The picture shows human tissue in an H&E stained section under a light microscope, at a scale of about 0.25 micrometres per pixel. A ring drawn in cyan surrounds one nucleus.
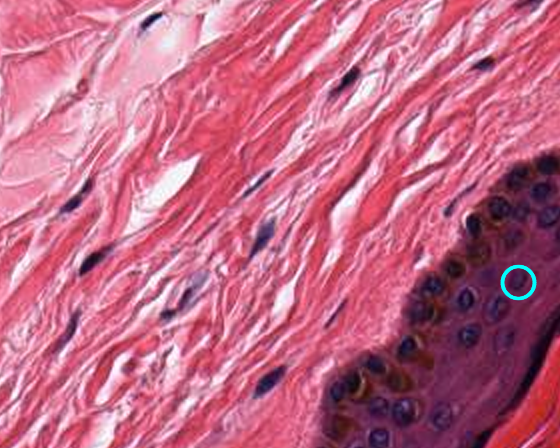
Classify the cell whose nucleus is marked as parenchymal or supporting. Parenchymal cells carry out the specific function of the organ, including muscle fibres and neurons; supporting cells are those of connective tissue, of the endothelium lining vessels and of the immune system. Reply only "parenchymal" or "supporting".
parenchymal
